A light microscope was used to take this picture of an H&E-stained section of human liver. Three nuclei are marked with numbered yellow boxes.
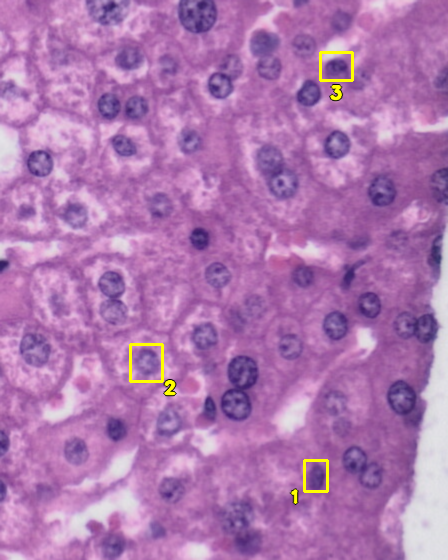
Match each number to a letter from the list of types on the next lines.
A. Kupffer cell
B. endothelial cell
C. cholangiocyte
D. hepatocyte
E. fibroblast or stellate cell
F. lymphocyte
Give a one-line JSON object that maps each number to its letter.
{"1": "E", "2": "D", "3": "A"}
